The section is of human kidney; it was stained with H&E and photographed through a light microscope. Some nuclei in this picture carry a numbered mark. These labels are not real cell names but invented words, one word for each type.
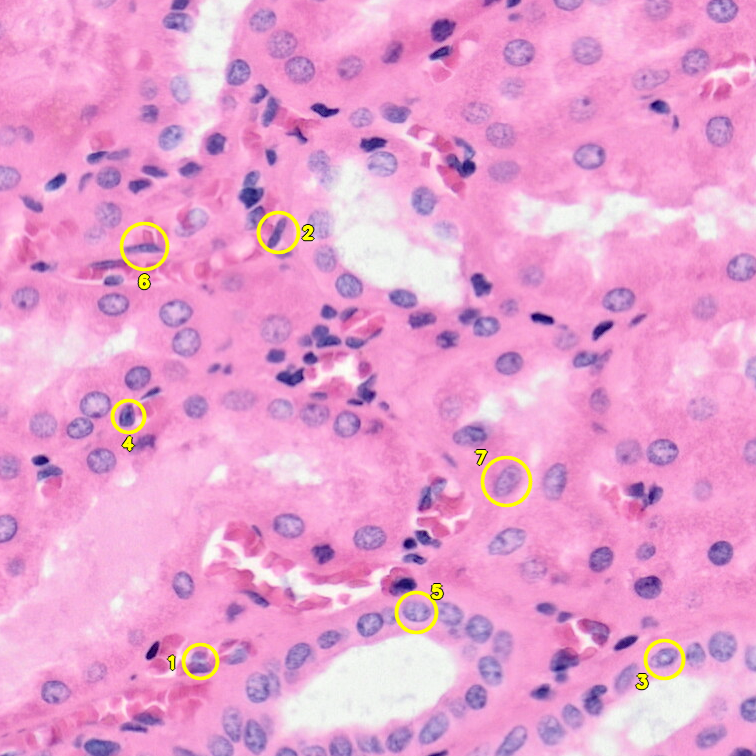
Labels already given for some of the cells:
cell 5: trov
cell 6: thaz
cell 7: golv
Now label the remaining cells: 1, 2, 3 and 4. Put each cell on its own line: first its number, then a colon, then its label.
1: thaz
2: thaz
3: trov
4: thaz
